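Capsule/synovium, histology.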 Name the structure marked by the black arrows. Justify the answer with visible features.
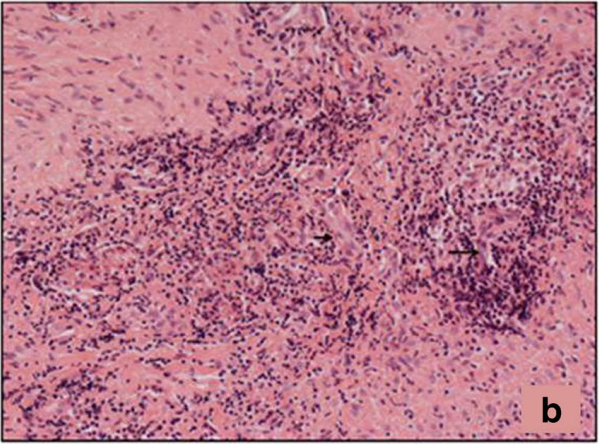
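Small vessels lined by plump endothelial cells. The arrows point to small vessel profiles within dense clusters of dark nuclei. The vessels are surrounded by heavy infiltrates of small round cells.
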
